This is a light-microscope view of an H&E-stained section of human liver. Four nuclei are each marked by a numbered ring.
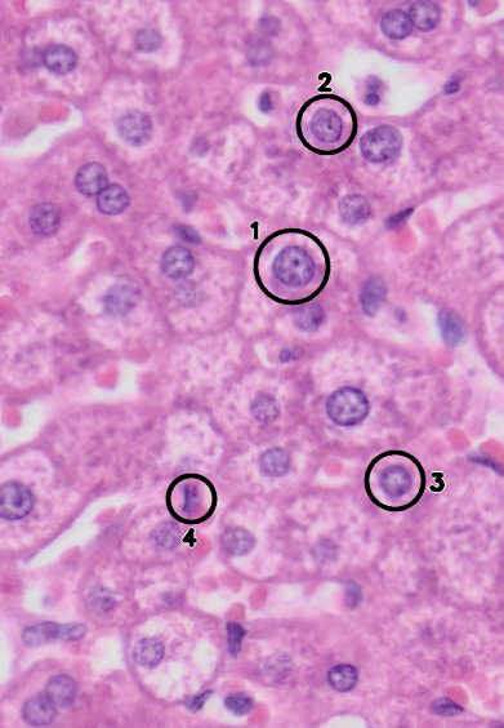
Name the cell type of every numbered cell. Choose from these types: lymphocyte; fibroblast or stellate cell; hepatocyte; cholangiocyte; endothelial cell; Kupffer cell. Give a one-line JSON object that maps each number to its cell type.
{"1": "hepatocyte", "2": "hepatocyte", "3": "hepatocyte", "4": "endothelial cell"}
